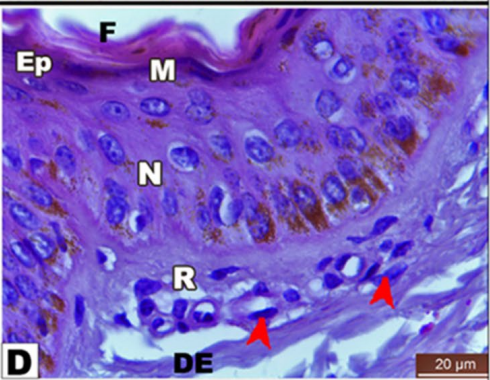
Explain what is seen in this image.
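This high-power view shows the epidermis of skin with its layers, from a thin, flattened stratum corneum at the surface through a narrow stratum granulosum to a thick stratum spinosum. The spinous layer is made of several rows of polygonal cells with pinkish-purple cytoplasm and round to oval pale nuclei with visible nucleoli. Brown pigment granules are scattered in the cytoplasm of many of these cells, more densely towards the deeper layers.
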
